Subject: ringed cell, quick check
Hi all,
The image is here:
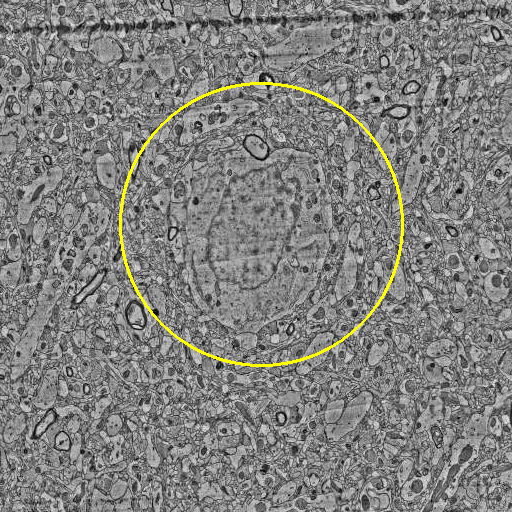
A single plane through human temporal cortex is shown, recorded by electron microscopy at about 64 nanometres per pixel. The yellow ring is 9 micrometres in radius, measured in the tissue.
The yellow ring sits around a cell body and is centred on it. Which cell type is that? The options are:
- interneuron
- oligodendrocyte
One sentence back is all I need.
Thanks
That ringed cell is an interneuron.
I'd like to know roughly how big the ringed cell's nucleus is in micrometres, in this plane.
About 8 micrometres by about 5 micrometres in this plane.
